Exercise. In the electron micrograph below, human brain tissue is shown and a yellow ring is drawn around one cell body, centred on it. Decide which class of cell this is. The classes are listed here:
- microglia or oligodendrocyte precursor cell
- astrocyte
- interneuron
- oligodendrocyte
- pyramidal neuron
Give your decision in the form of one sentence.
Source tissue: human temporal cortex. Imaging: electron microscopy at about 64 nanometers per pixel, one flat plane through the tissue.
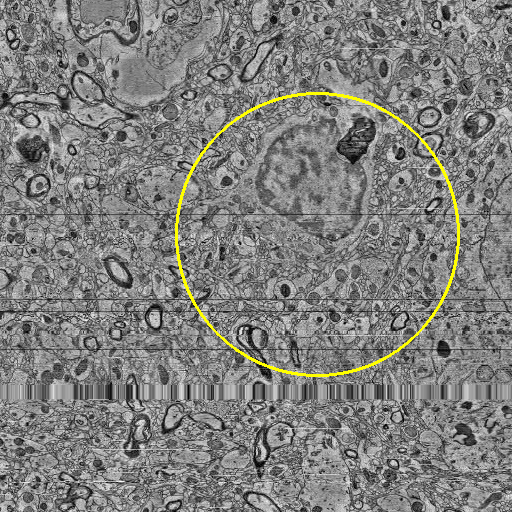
The cell body marked by the ring belongs to an oligodendrocyte.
